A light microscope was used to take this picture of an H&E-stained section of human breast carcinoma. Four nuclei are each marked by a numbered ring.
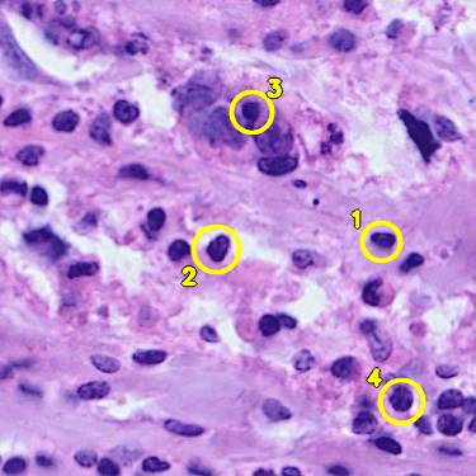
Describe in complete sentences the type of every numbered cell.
Cell 1 is a lymphocyte, cell 2 is a lymphocyte, cell 3 is a carcinoma cell and cell 4 is a lymphocyte.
